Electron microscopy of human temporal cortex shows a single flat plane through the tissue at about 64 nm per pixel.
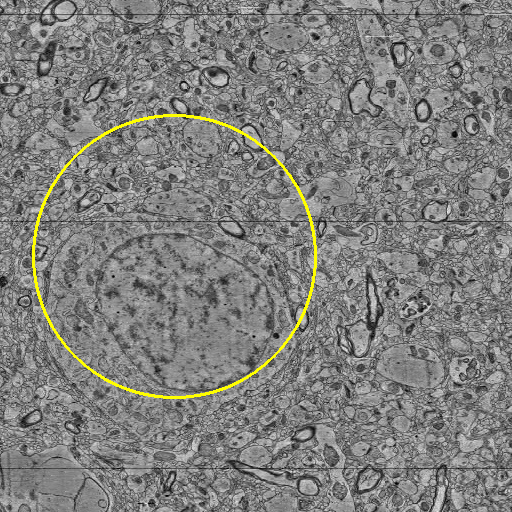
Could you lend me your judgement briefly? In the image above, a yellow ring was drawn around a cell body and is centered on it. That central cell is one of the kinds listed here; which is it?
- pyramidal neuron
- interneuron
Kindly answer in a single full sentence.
Going by the list, an interneuron is the kind at the ring's center in the picture.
